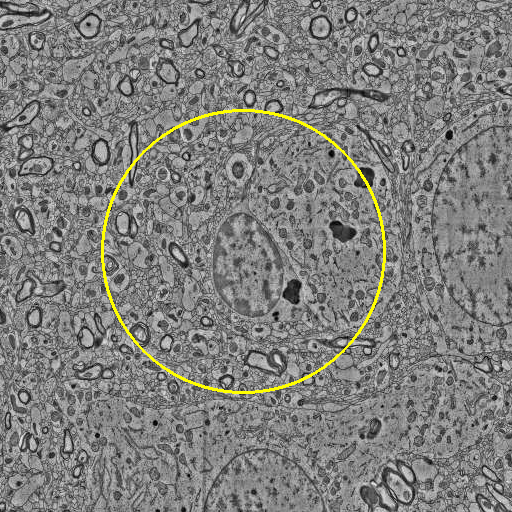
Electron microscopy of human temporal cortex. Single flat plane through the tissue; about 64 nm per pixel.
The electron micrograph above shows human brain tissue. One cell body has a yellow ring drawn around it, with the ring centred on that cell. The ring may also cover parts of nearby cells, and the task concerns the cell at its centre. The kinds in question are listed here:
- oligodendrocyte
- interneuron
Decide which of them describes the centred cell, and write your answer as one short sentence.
The centred cell is an oligodendrocyte.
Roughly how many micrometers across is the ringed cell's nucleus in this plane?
In this plane the nucleus is roughly 7 by 4 micrometres, clearly longer than it is wide.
